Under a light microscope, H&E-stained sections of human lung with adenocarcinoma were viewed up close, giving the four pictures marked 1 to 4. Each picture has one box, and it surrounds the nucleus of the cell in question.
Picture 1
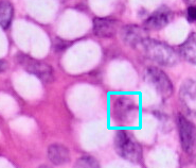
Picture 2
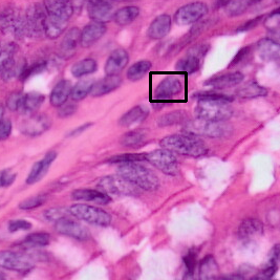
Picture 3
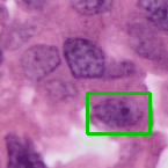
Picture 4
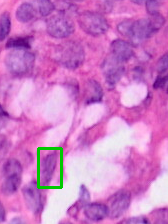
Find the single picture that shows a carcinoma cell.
3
